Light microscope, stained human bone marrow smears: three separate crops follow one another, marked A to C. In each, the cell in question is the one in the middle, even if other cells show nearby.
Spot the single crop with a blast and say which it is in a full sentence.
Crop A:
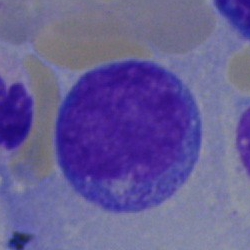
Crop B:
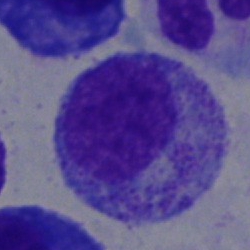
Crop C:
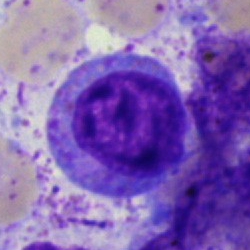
Crop A is identified as the crop showing a blast.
